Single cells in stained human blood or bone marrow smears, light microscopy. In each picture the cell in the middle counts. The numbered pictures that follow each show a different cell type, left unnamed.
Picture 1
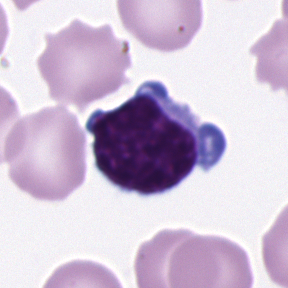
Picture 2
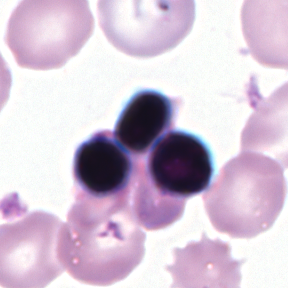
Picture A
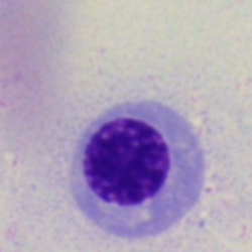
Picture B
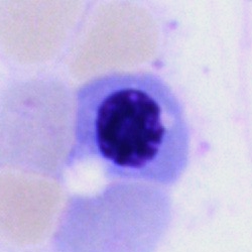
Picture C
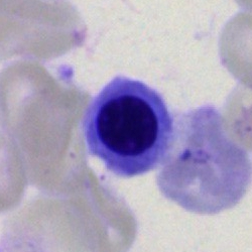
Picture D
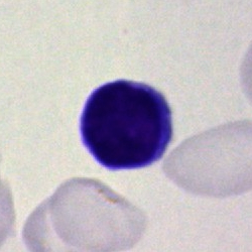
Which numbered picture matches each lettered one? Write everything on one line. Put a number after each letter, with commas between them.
A 2, B 2, C 2, D 1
